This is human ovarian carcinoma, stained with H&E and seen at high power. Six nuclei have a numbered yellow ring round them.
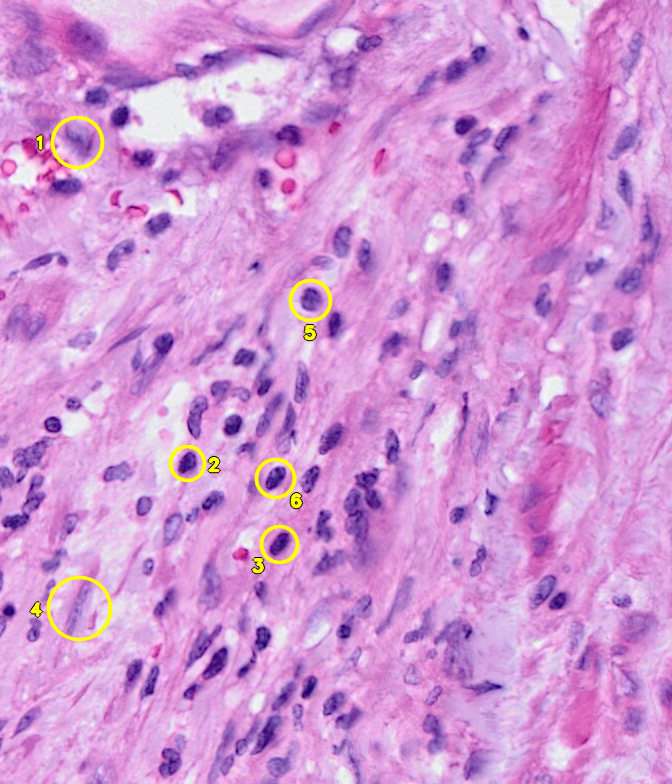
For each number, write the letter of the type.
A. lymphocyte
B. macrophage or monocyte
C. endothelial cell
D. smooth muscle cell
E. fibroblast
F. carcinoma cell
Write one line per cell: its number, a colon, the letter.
1: C
2: A
3: A
4: E
5: A
6: A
